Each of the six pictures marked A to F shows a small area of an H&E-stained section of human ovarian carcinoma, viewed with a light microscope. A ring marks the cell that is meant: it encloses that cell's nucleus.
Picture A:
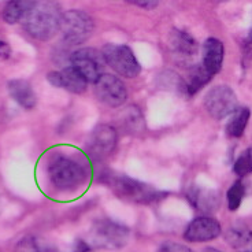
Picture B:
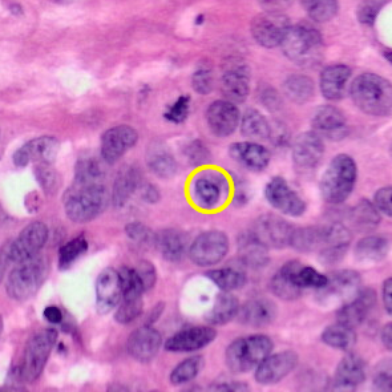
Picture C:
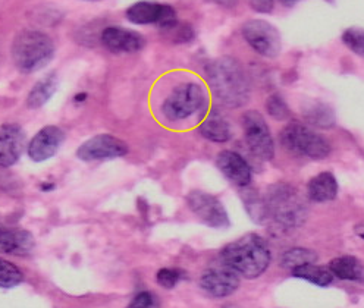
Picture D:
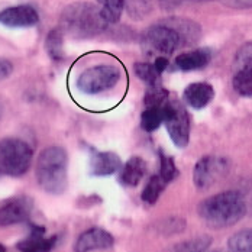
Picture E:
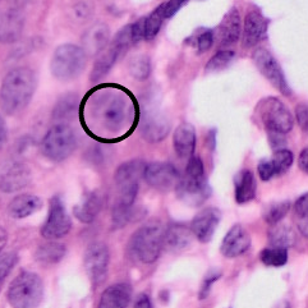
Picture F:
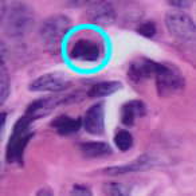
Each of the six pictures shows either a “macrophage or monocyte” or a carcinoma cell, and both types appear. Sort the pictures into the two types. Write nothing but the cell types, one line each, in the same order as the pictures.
carcinoma cell
macrophage or monocyte
macrophage or monocyte
macrophage or monocyte
carcinoma cell
carcinoma cell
